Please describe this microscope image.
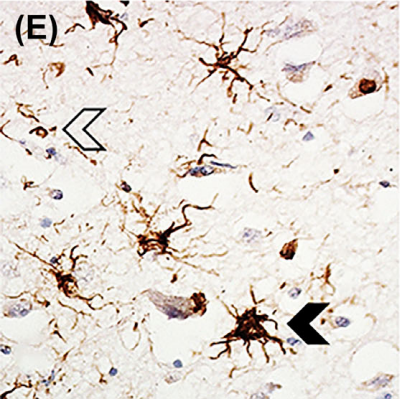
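This is brain neuropil containing glial cells with brown-stained inclusions. Several astrocytes show dense brown tufts of radiating, branching processes spreading out from a central point, giving them a star-like shape. Smaller brown curled structures lie near small round blue nuclei, and fine brown threads are scattered through the pale neuropil.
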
